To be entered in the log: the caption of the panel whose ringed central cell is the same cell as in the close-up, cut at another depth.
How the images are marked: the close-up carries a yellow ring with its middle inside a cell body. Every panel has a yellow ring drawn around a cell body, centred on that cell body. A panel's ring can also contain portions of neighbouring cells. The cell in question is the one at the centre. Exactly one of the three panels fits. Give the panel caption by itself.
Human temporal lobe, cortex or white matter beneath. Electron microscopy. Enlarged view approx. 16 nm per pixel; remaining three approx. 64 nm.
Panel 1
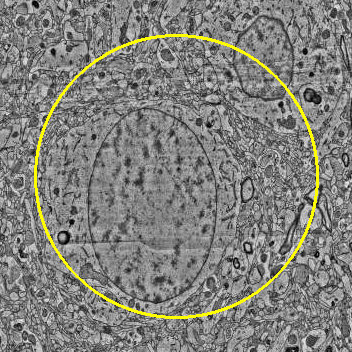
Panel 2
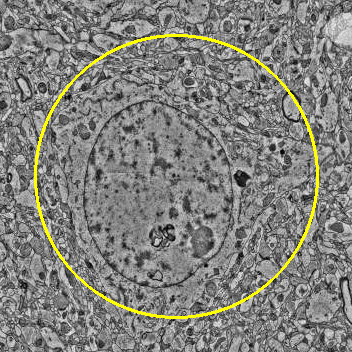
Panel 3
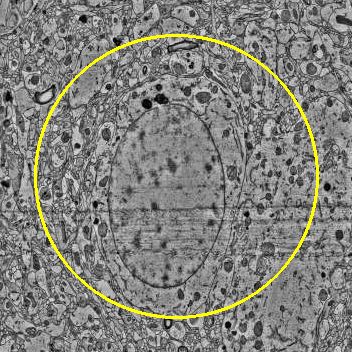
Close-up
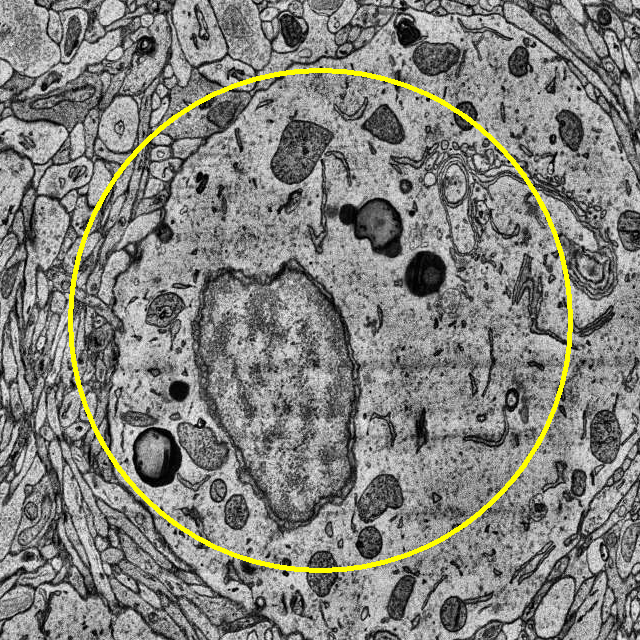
Panel 1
